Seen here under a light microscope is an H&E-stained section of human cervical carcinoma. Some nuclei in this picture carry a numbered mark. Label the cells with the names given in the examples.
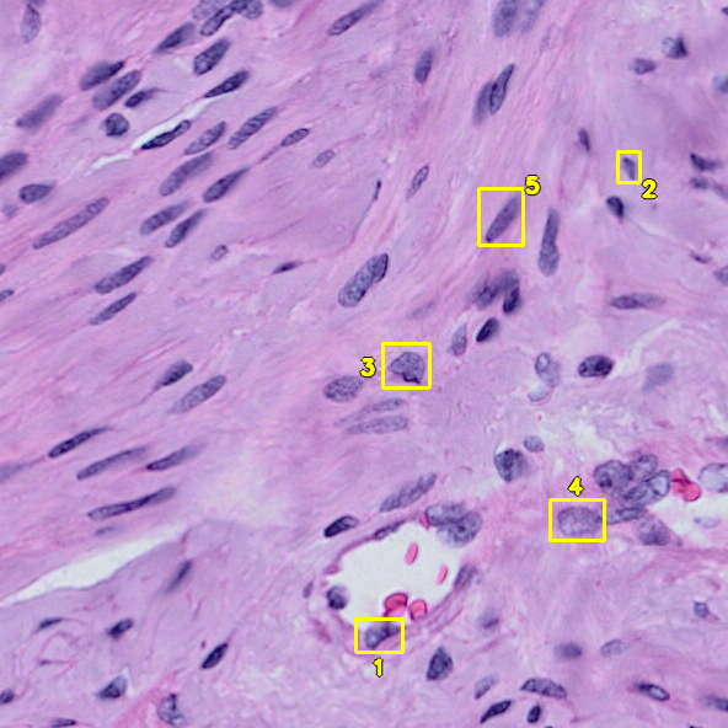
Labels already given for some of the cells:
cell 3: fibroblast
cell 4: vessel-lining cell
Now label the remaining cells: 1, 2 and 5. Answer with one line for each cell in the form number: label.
1: vessel-lining cell
2: fibroblast
5: fibroblast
